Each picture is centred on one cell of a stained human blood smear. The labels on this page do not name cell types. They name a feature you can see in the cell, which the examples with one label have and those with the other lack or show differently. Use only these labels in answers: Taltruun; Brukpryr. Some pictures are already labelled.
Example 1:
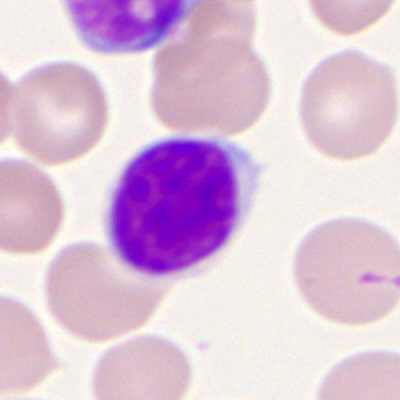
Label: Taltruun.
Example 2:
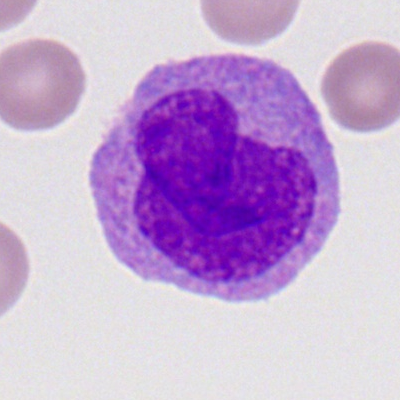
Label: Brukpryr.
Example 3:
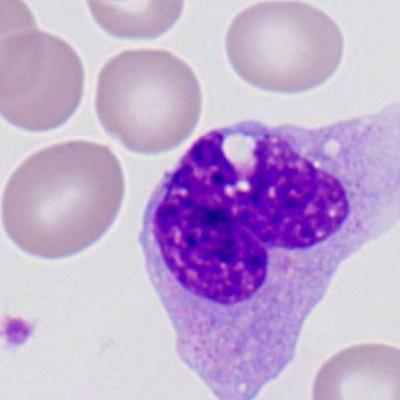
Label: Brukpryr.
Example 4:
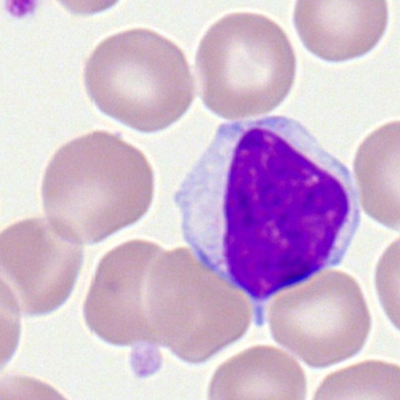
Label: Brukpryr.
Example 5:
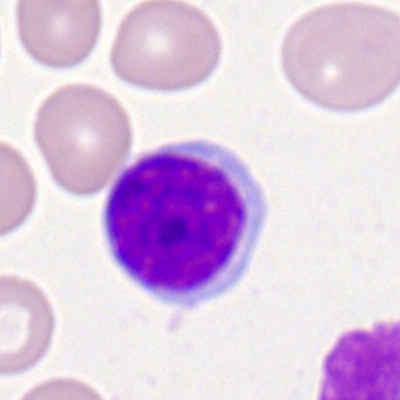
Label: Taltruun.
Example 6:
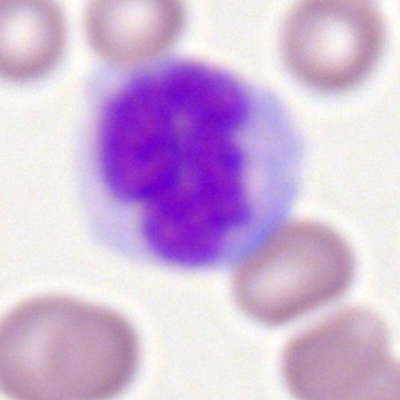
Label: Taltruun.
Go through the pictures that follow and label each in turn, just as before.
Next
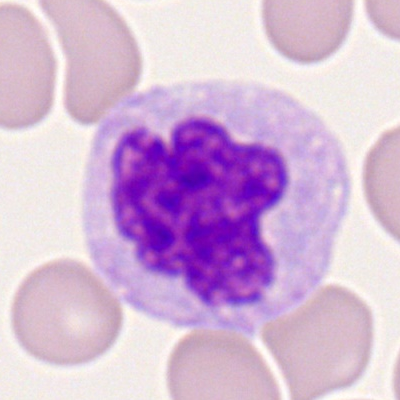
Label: Brukpryr.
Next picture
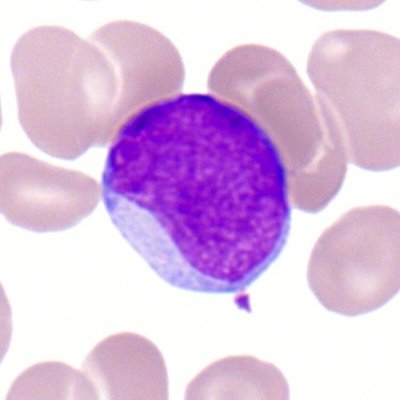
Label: Taltruun.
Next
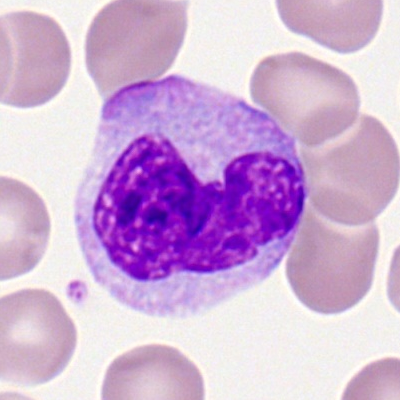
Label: Brukpryr.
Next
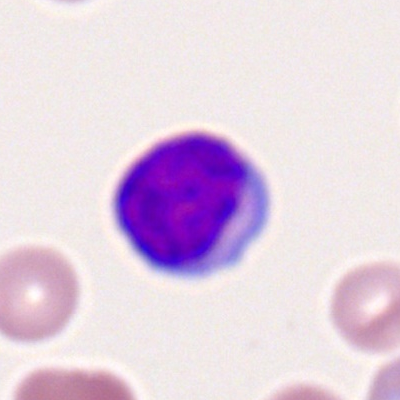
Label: Taltruun.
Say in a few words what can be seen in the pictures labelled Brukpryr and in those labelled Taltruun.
Brukpryr: abundant cytoplasm; Taltruun: scant cytoplasm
